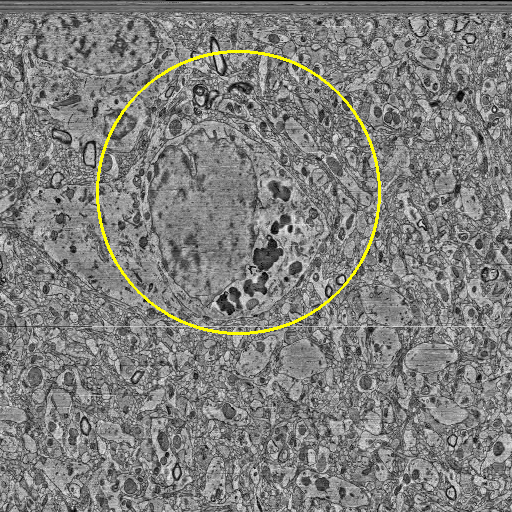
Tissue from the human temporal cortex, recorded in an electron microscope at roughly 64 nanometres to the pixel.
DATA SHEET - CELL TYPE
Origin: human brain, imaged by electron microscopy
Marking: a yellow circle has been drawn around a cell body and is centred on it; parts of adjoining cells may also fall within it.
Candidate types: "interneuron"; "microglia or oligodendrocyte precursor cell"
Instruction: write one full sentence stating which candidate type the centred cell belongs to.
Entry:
The cell body at the centre of the yellow ring in this micrograph belongs to an interneuron.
